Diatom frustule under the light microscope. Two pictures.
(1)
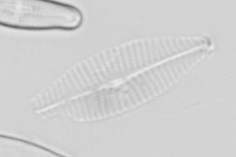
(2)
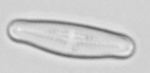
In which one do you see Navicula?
In picture 1.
